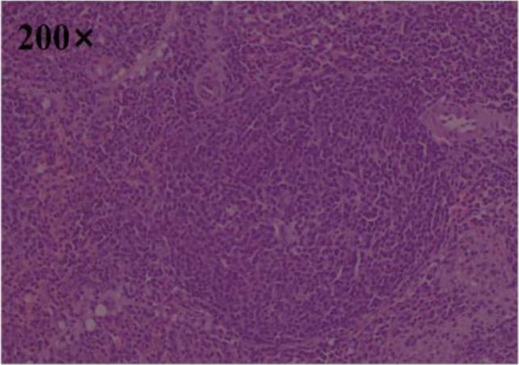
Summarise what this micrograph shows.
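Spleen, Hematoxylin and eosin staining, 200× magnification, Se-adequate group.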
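A broad, rounded, densely cellular area in the centre and lower part of the field is white pulp. Looser tissue with more pink-staining material and scattered red blood cells runs along the upper part of the field.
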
